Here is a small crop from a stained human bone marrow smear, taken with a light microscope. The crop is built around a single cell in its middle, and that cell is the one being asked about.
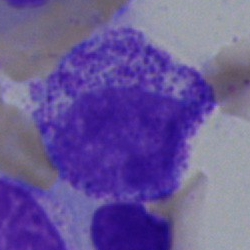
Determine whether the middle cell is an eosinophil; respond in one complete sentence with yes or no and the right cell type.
No, the central cell in this crop is a myelocyte and not an eosinophil.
